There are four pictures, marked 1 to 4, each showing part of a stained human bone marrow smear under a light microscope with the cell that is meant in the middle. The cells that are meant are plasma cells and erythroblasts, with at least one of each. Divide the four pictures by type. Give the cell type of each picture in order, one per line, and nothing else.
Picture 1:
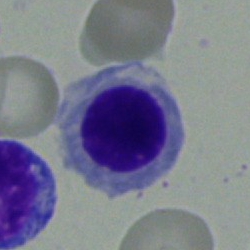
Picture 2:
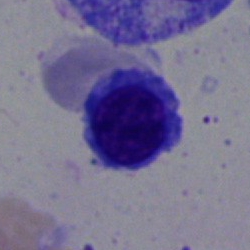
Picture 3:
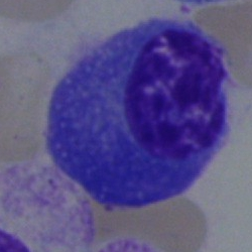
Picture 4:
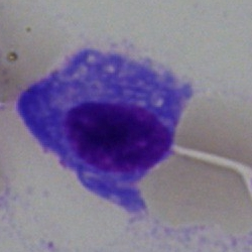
erythroblast
erythroblast
plasma cell
plasma cell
